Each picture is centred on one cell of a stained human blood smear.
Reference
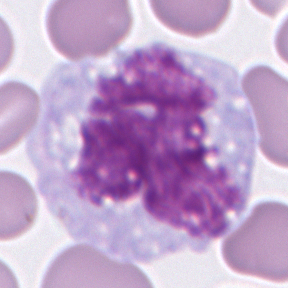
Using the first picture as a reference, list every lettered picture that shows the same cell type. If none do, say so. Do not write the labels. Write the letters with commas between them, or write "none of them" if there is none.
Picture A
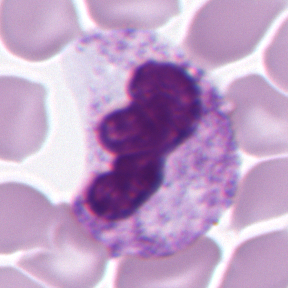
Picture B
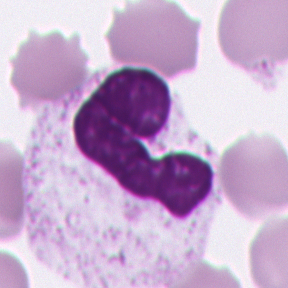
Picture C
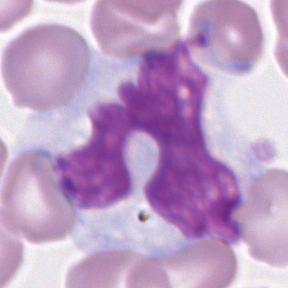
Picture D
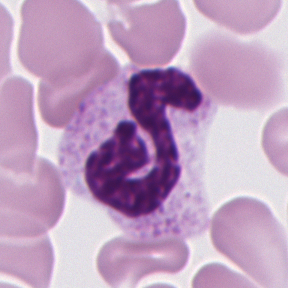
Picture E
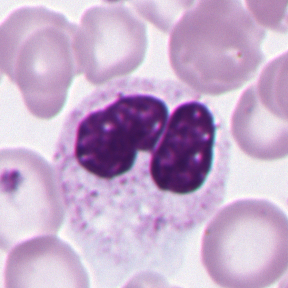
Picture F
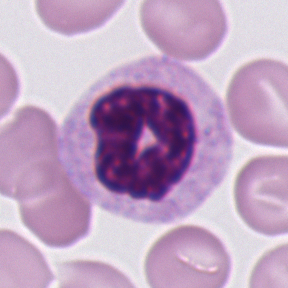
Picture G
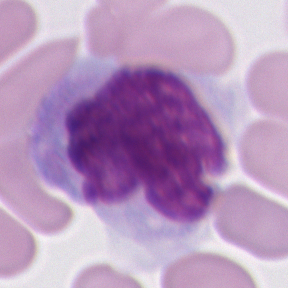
C, G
